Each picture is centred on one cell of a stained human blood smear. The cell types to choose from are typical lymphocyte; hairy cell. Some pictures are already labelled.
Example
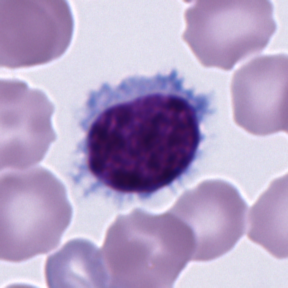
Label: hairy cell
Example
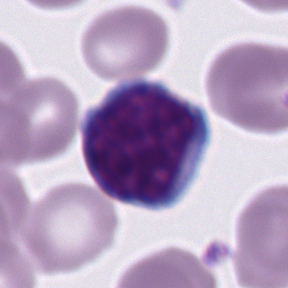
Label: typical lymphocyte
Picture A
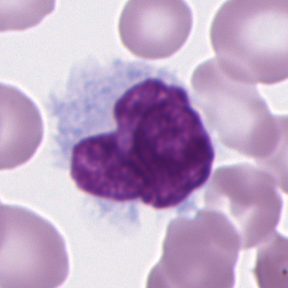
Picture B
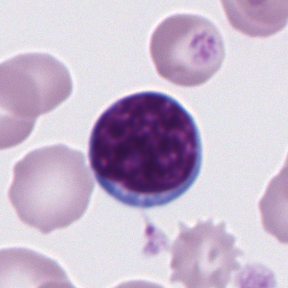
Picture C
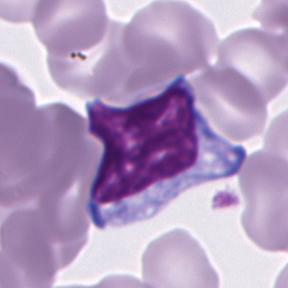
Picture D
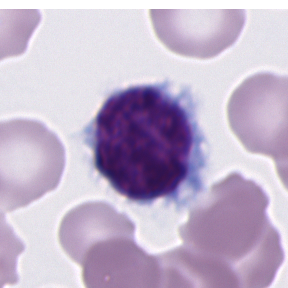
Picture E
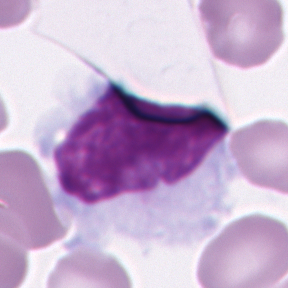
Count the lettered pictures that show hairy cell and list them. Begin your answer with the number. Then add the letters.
Count: 3 (A, D, E)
